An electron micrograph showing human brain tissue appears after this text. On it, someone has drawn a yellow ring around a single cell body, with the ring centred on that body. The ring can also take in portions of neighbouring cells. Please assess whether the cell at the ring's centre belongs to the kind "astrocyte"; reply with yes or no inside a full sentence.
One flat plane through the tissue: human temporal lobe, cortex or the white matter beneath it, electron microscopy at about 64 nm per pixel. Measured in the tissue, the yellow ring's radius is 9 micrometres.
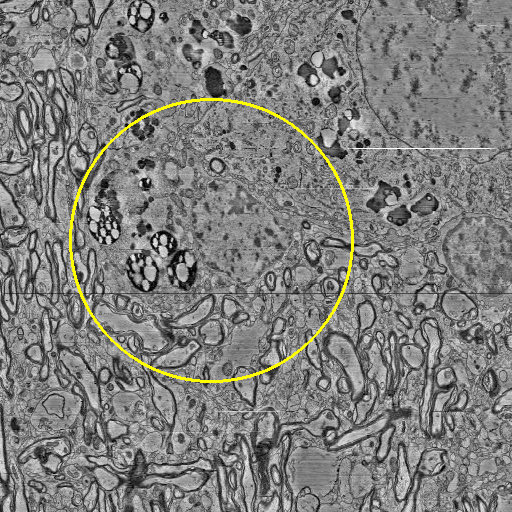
Yes, in this micrograph the cell at the centre of the ring is of that kind.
